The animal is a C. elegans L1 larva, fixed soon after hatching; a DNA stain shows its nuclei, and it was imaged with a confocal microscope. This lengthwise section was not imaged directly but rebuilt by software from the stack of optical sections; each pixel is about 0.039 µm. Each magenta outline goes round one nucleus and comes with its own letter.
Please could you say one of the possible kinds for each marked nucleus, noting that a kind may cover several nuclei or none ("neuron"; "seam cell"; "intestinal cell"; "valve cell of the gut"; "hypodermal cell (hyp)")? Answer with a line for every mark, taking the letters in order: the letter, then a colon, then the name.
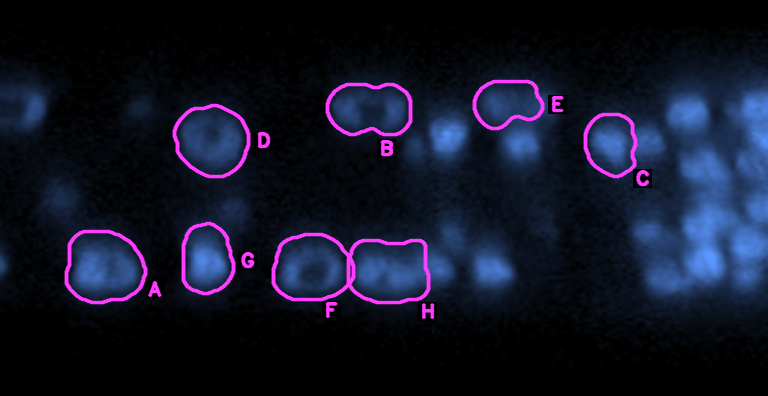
A: seam cell
B: hypodermal cell (hyp)
C: neuron
D: intestinal cell
E: seam cell
F: hypodermal cell (hyp)
G: neuron
H: hypodermal cell (hyp)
